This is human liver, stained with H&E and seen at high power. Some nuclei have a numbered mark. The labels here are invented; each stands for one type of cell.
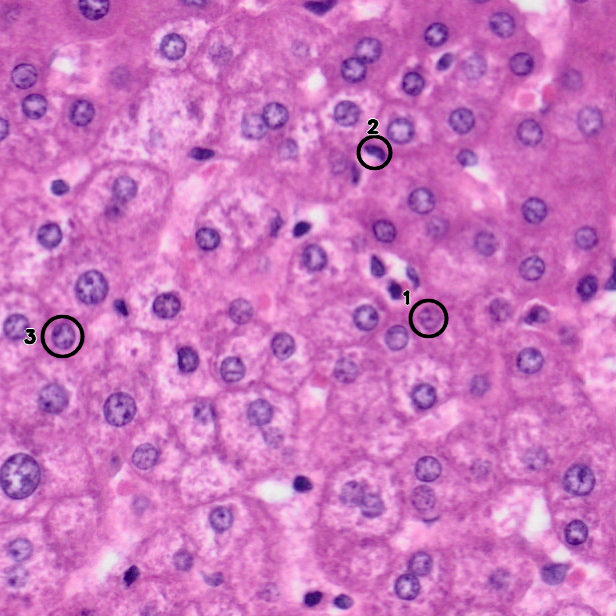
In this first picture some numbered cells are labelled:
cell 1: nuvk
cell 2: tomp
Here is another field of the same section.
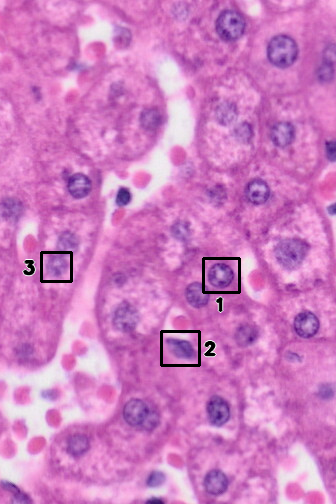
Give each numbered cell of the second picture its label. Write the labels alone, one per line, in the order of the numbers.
nuvk
tomp
nuvk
